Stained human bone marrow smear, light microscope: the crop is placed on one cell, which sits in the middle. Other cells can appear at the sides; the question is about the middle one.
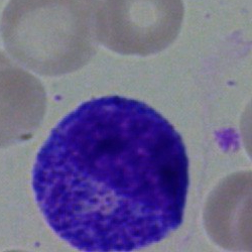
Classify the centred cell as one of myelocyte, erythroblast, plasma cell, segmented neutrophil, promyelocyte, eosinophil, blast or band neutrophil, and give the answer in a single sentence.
Here the centrally located cell is a myelocyte.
